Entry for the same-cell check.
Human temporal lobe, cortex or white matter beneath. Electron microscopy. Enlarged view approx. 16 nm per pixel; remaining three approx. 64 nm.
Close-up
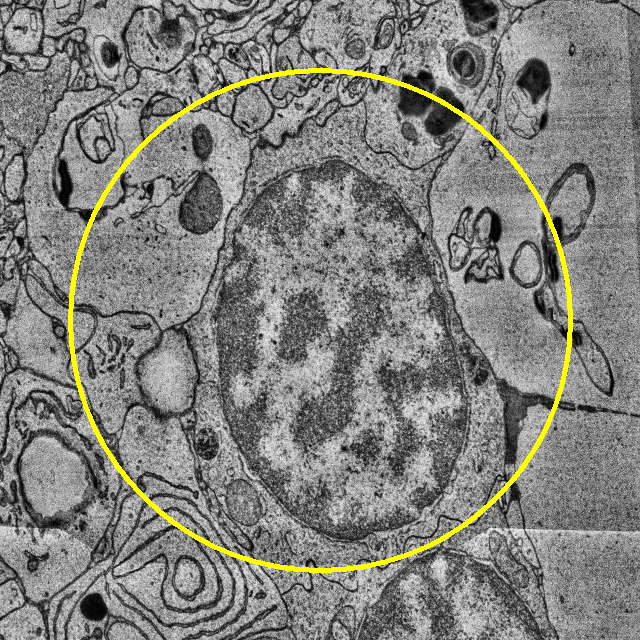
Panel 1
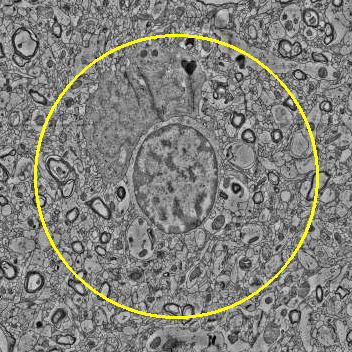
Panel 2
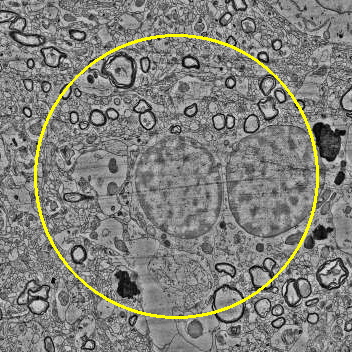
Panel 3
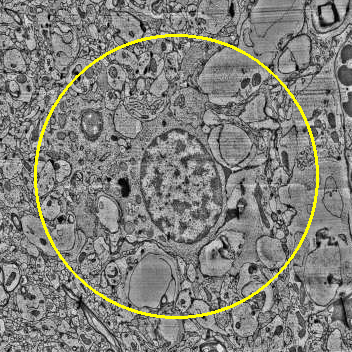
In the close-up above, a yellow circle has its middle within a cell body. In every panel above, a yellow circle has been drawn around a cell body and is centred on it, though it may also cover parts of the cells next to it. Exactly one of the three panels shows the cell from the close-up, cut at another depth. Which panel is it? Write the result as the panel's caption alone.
Panel 3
